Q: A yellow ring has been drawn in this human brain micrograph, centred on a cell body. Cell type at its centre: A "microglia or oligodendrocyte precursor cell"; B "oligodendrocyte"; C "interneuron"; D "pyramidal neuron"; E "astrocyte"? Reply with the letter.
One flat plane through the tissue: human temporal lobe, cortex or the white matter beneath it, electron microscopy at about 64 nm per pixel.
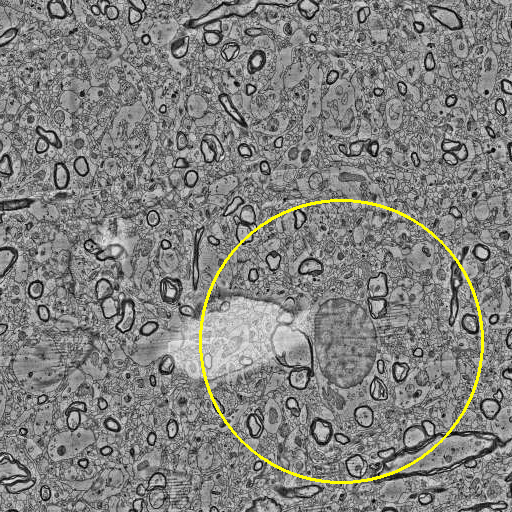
B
